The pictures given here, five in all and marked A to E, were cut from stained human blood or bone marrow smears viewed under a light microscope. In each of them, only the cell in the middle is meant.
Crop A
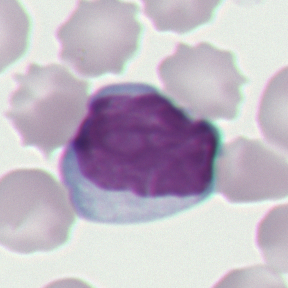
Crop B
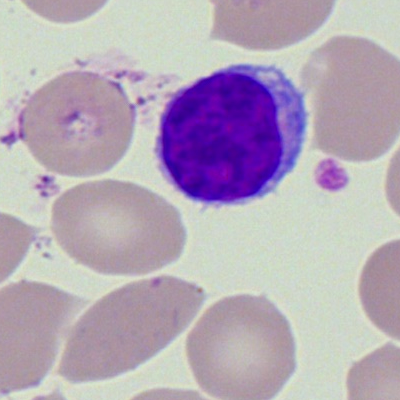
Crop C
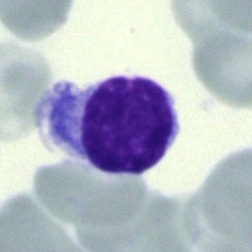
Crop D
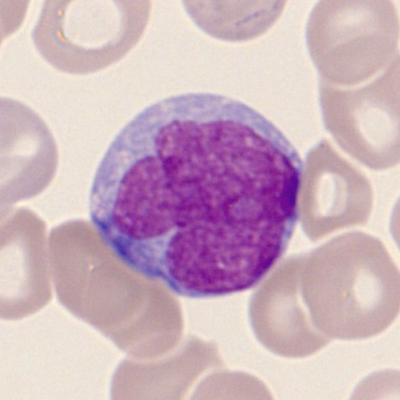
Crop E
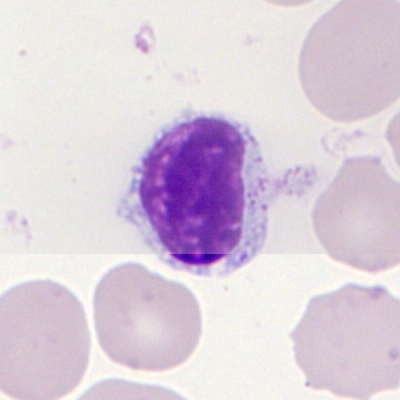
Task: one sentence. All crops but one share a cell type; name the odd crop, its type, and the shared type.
The exception is crop D: it is a blast, and the others are all lymphocytes.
